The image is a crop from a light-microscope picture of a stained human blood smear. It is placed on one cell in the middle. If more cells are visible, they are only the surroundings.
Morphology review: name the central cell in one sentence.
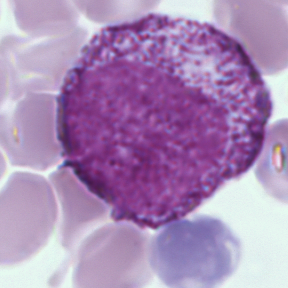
The centrally located cell in the crop is a myelocyte.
